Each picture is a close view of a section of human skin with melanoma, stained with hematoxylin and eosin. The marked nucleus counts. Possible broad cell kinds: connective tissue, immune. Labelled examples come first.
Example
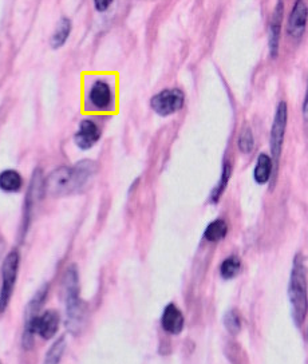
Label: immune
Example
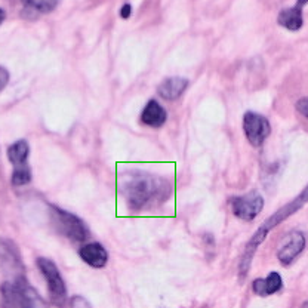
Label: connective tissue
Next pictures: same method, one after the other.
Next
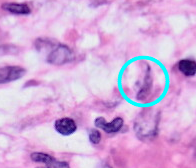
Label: connective tissue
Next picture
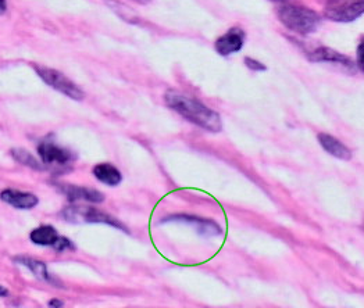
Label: connective tissue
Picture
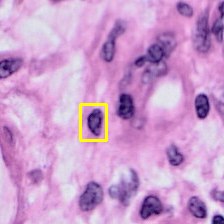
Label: immune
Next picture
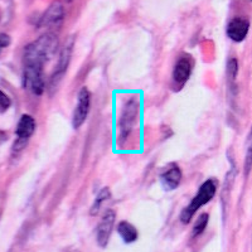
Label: connective tissue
